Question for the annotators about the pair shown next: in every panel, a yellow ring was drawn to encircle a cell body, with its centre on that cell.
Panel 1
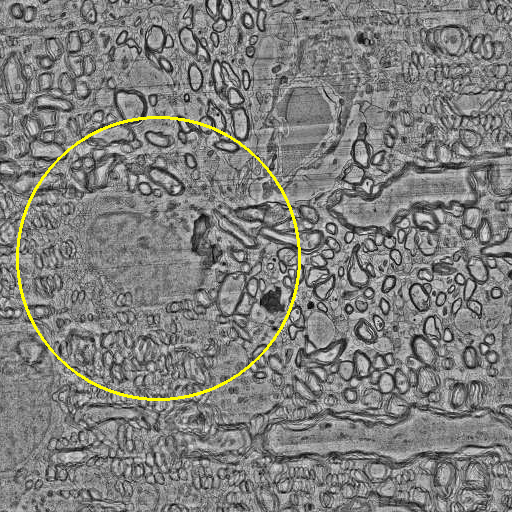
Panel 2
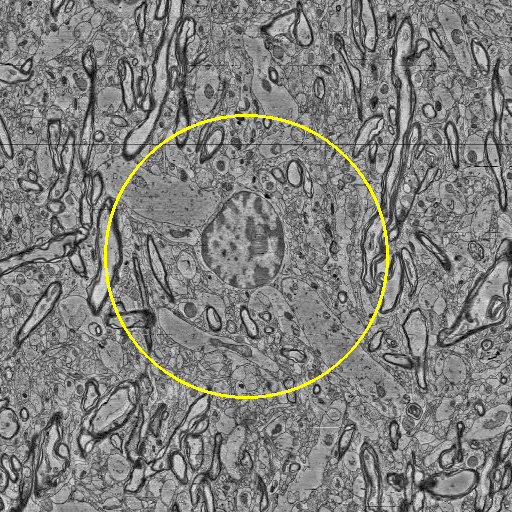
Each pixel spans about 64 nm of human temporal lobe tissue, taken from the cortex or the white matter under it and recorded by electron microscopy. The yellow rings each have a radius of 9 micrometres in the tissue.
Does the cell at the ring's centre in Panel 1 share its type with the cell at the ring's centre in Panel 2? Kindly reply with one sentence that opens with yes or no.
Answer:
No, in Panels 1 and 2 the cells at the ring centres belong to separate types.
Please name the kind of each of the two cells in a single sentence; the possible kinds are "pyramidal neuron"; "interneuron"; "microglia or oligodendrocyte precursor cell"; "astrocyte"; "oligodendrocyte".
In the first picture the ring is centred on an oligodendrocyte, and in the second on a microglial cell or oligodendrocyte precursor cell.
